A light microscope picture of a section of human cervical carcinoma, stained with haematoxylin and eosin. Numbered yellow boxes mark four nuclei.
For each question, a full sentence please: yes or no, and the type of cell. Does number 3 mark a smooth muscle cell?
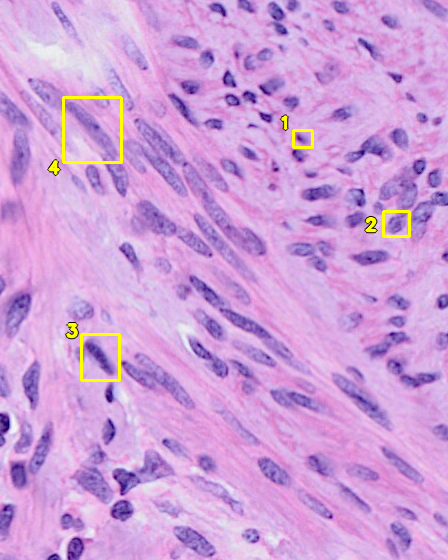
No, the cell referred to as 3 is a fibroblast, not a smooth muscle cell.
